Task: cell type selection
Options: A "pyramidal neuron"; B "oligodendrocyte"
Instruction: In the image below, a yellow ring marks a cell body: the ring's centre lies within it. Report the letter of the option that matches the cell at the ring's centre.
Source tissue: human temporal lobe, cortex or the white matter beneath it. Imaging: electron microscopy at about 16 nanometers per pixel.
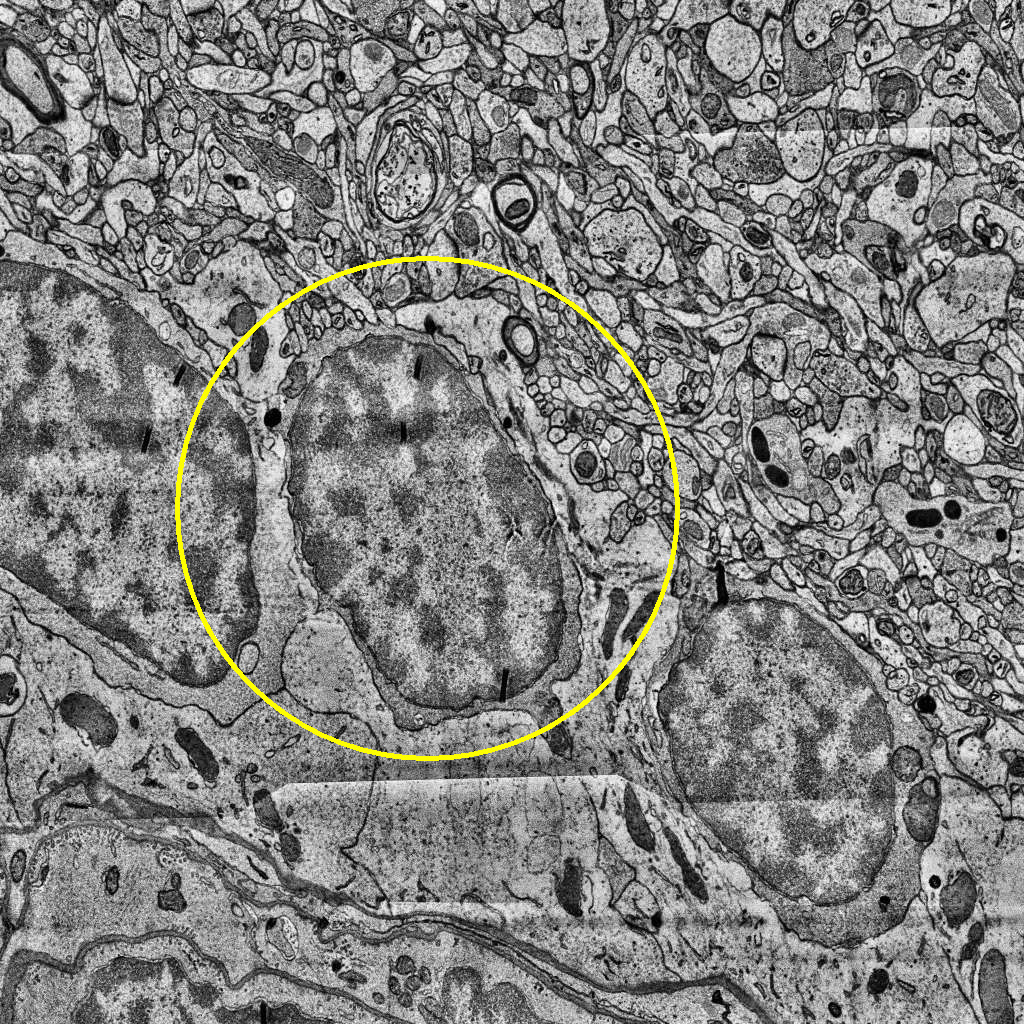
B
